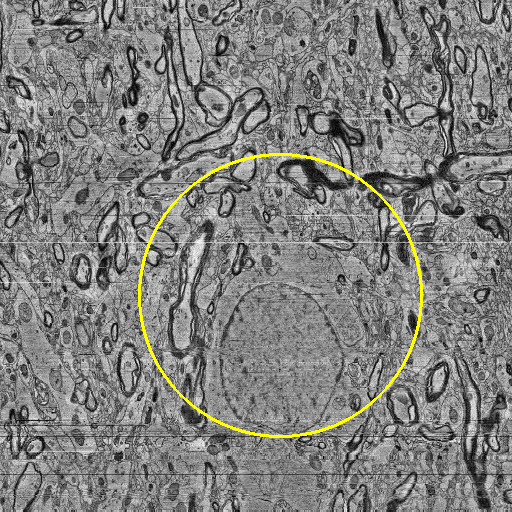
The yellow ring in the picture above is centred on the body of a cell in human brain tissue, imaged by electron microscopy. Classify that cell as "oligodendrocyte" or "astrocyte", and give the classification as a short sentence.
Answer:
The cell in the middle of the ring is an astrocyte.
